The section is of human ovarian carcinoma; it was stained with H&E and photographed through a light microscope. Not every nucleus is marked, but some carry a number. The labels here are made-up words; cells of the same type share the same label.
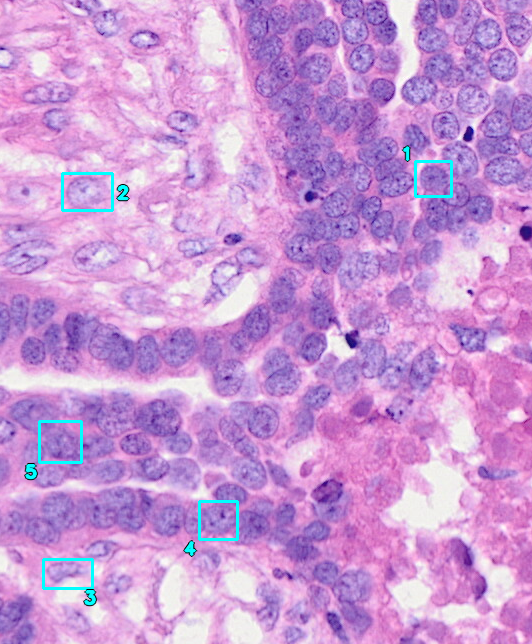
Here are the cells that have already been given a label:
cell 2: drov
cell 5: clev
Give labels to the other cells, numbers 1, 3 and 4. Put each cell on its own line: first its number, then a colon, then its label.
1: clev
3: drov
4: clev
